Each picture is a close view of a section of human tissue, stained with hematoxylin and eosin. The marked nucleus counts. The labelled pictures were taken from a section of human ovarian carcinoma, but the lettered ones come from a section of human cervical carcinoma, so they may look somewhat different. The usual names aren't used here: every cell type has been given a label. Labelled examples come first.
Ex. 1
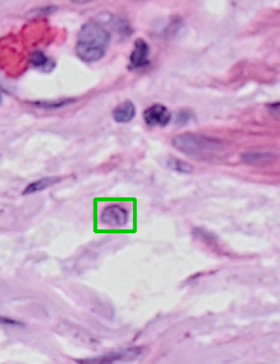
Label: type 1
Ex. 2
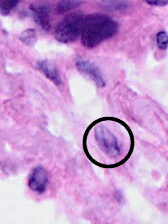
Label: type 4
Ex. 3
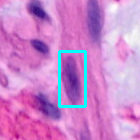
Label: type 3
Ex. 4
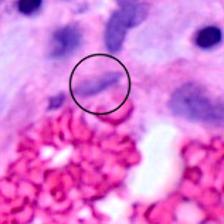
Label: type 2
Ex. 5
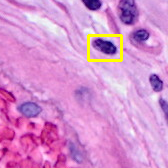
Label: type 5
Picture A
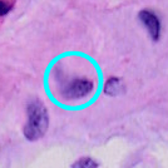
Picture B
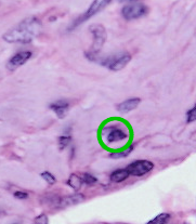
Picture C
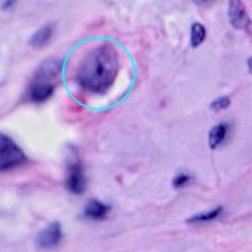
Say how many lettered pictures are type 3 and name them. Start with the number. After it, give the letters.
0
